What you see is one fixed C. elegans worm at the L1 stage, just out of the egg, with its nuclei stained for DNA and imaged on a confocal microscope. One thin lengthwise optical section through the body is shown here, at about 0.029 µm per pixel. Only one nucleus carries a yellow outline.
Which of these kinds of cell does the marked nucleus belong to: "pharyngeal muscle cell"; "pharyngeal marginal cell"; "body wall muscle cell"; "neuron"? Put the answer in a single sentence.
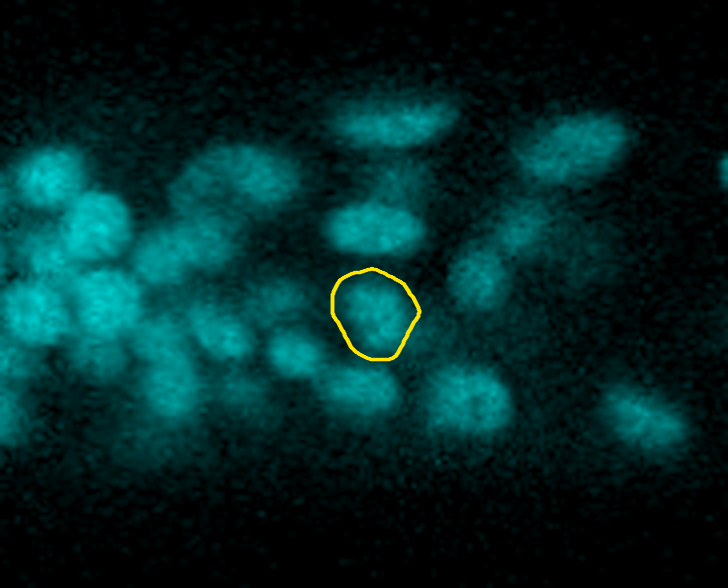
The nucleus comes from a pharyngeal muscle cell.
